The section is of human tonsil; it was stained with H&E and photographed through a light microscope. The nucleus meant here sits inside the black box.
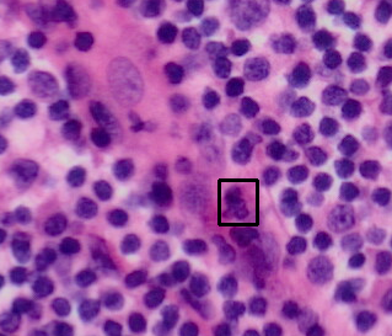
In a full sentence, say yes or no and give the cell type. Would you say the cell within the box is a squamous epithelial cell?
No, score the cell within the box as an endothelial cell; it is not a squamous epithelial cell.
